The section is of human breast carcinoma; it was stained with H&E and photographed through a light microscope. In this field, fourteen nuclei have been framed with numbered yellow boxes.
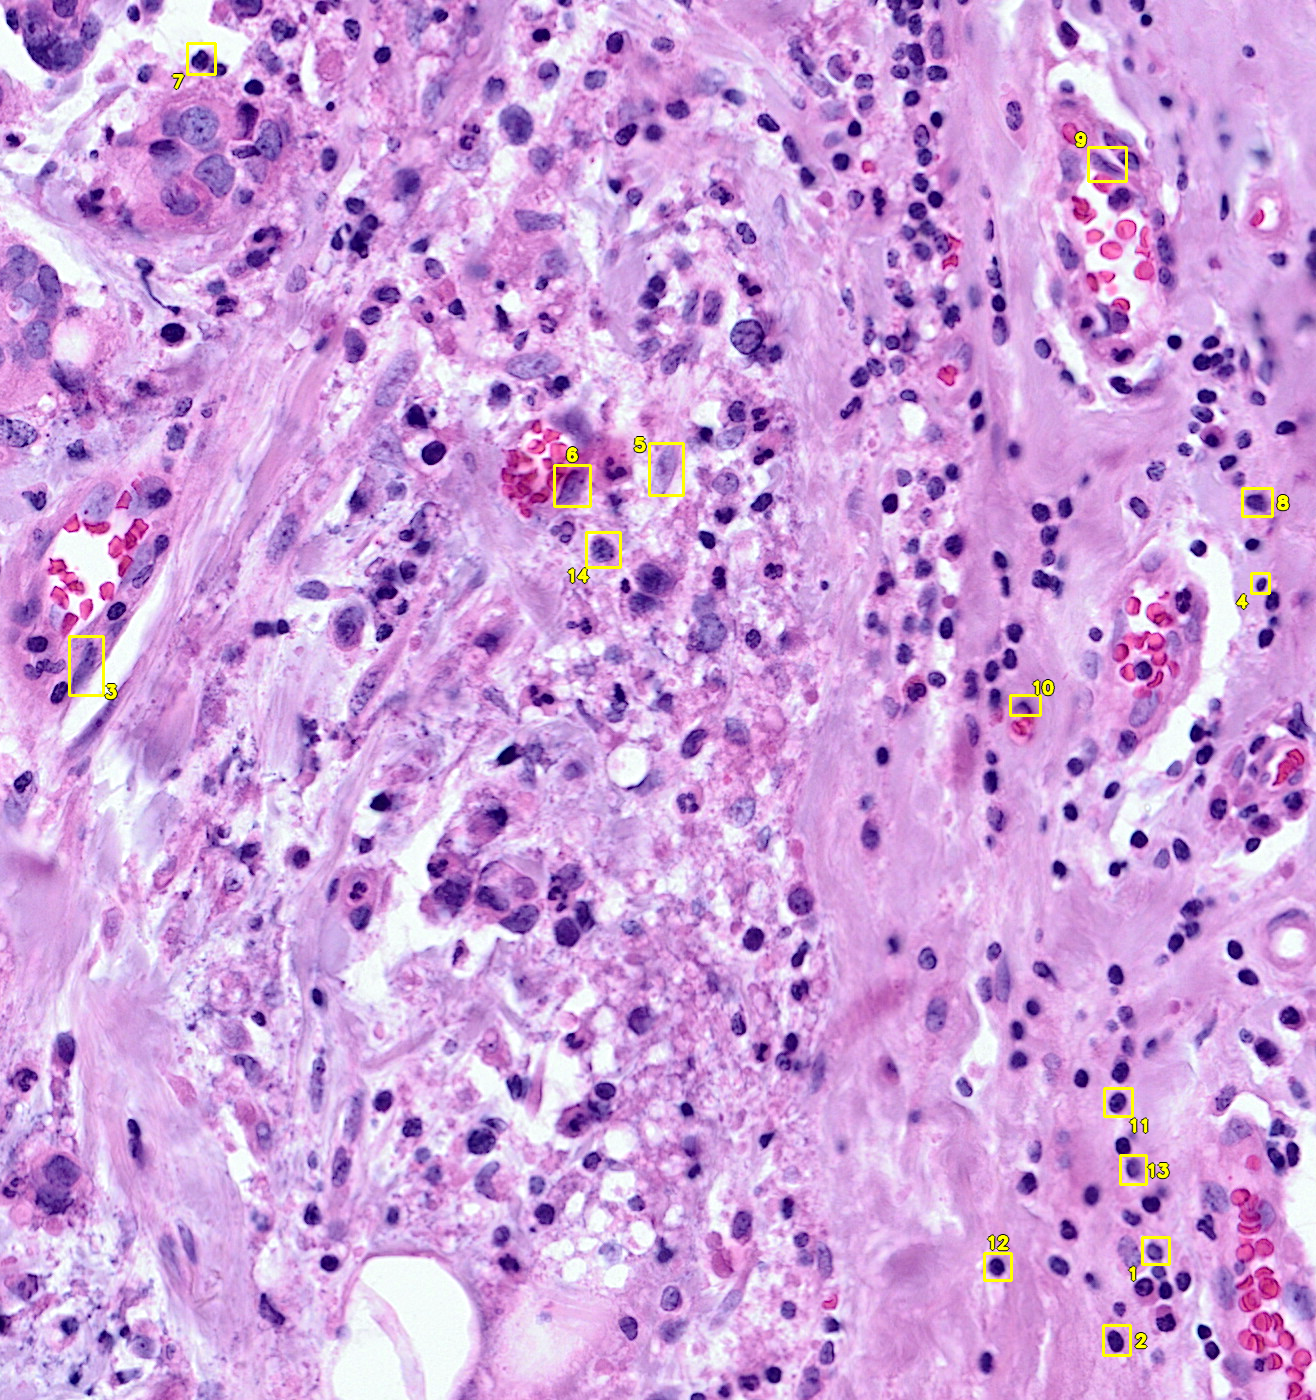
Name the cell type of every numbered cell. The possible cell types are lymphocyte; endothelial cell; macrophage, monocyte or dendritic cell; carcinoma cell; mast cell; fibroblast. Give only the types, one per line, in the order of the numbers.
lymphocyte
lymphocyte
endothelial cell
lymphocyte
fibroblast
endothelial cell
lymphocyte
lymphocyte
endothelial cell
endothelial cell
lymphocyte
lymphocyte
lymphocyte
mast cell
